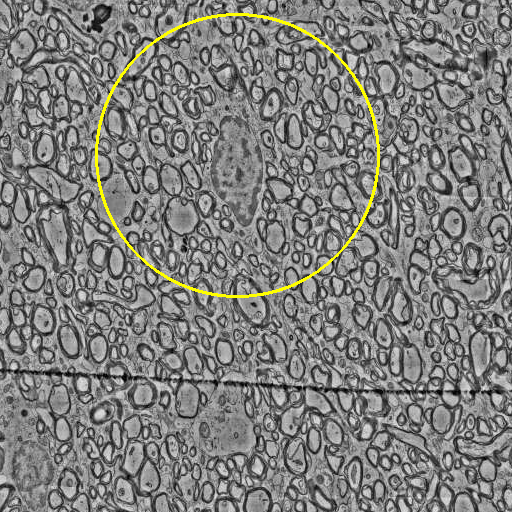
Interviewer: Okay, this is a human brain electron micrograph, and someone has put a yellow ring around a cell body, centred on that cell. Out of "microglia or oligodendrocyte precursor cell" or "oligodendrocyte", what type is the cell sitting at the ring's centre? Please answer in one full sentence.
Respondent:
The cell at the centre of the yellow ring in this picture is a microglial cell or oligodendrocyte precursor cell.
